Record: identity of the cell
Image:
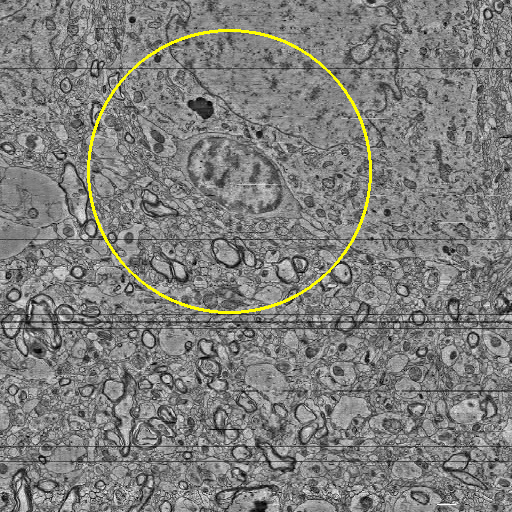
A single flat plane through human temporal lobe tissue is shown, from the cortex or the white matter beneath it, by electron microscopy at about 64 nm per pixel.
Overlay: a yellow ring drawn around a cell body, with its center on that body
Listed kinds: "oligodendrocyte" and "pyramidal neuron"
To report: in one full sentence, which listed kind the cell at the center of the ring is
In the image, the cell body at the ring's center belongs to an oligodendrocyte.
